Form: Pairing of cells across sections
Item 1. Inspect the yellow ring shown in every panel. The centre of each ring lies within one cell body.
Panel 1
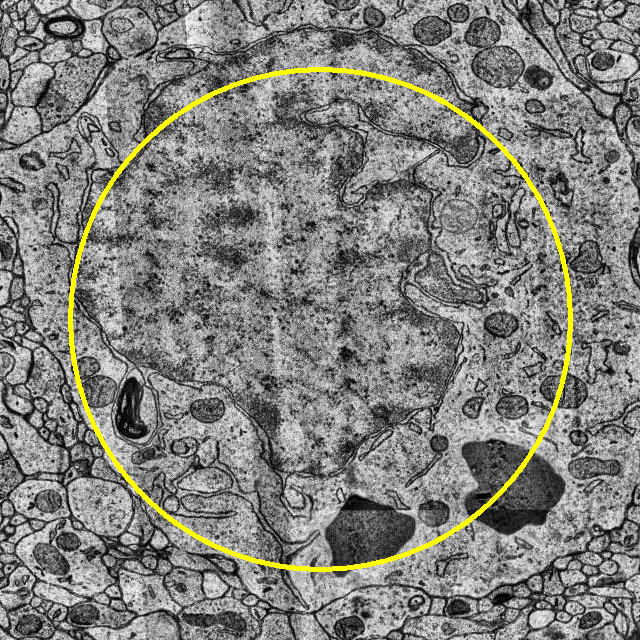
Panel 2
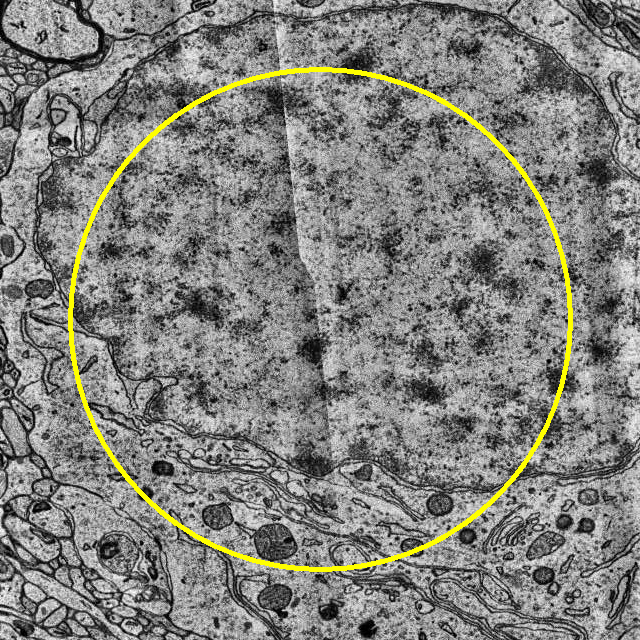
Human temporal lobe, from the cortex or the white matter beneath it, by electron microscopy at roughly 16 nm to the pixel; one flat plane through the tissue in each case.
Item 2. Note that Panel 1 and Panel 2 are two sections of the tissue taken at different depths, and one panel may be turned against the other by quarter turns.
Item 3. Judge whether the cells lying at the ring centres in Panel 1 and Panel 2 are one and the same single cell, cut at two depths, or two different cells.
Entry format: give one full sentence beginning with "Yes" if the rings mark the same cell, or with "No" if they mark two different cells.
Yes, a single cell is marked twice, once by each yellow ring.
